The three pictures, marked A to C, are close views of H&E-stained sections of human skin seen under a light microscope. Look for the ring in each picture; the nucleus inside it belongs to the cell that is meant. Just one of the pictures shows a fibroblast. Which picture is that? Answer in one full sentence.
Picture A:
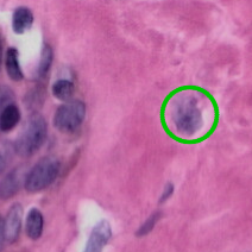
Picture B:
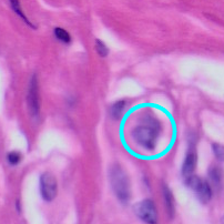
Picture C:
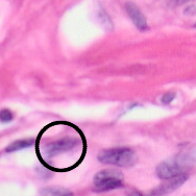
Picture A is the one that shows the fibroblast.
